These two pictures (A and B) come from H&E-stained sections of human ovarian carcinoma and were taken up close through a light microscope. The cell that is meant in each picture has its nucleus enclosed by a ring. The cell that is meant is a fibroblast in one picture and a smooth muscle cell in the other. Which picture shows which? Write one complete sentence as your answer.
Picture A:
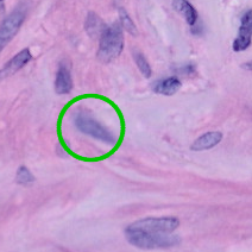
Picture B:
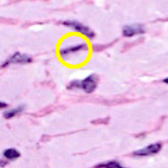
Picture A shows a smooth muscle cell and picture B shows a fibroblast.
